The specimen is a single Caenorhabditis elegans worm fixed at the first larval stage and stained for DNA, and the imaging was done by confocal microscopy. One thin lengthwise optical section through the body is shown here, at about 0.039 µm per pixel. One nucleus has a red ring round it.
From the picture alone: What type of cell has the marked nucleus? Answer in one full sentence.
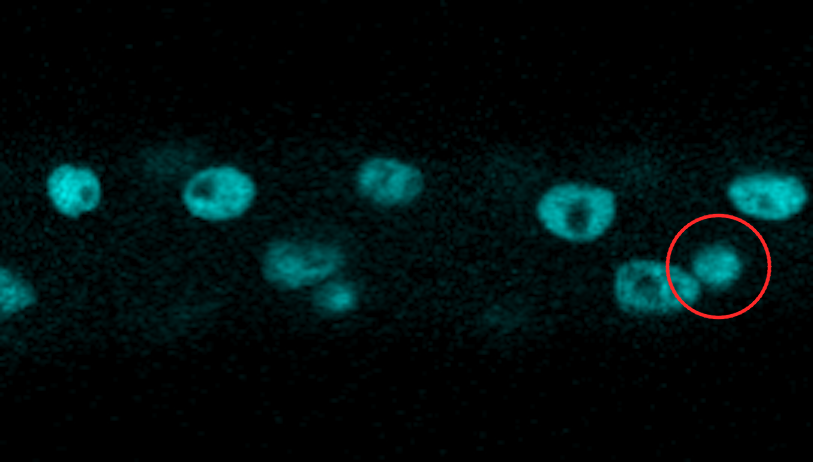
The cell with the marked nucleus is a neuron.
